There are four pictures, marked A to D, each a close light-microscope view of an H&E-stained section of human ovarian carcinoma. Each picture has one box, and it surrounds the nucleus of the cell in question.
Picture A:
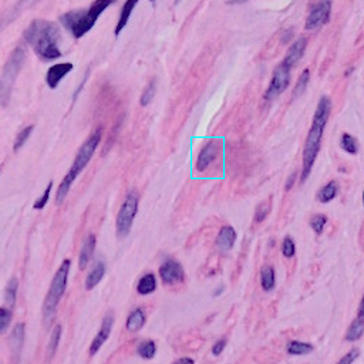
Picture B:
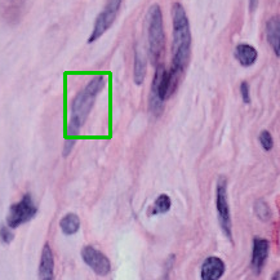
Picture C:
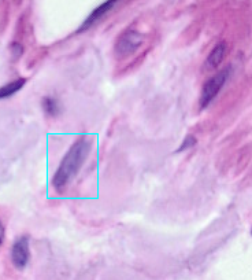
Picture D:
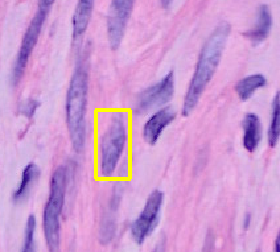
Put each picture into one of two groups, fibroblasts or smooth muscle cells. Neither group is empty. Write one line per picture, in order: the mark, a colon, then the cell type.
A: smooth muscle cell
B: smooth muscle cell
C: fibroblast
D: smooth muscle cell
